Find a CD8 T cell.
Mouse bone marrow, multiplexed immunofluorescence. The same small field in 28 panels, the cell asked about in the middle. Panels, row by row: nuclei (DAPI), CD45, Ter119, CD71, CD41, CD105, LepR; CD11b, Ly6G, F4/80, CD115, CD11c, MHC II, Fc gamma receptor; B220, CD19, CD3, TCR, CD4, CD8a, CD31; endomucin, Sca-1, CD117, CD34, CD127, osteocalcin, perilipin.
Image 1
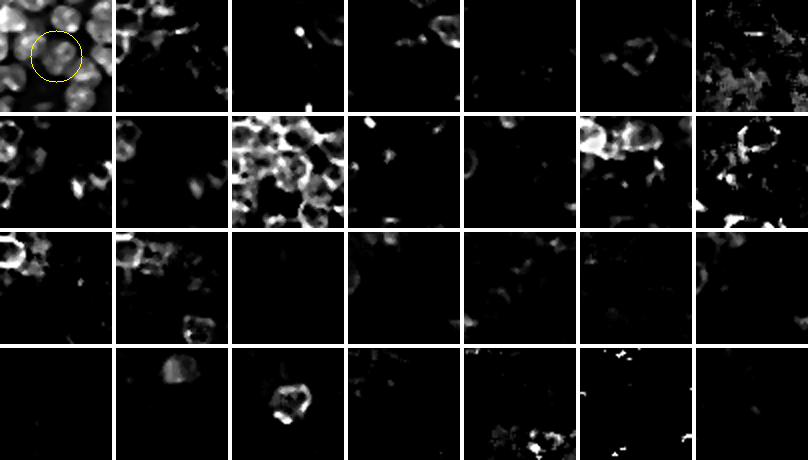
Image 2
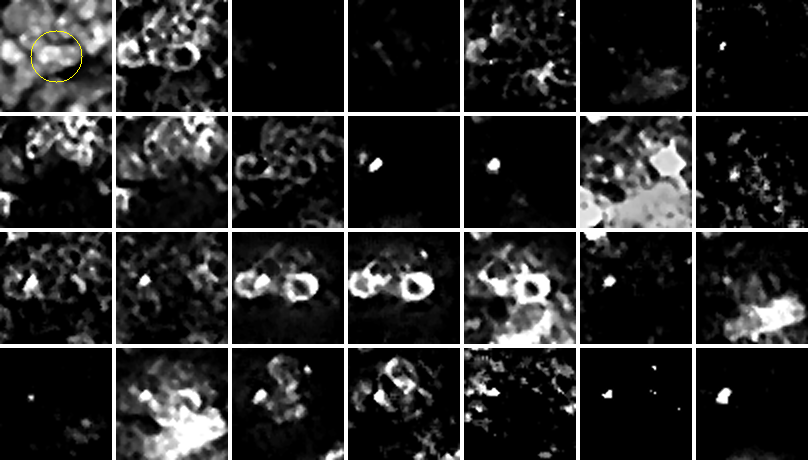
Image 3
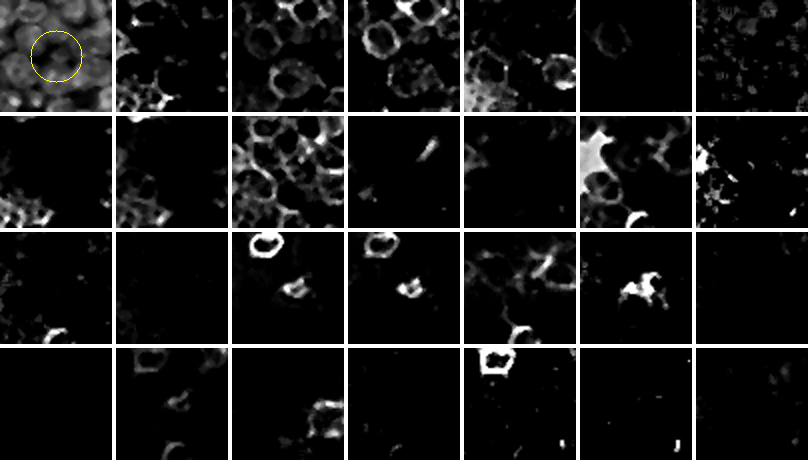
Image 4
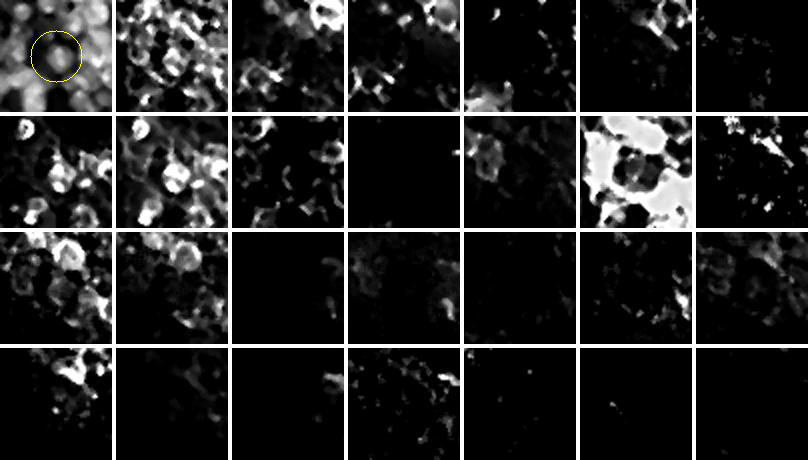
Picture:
3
